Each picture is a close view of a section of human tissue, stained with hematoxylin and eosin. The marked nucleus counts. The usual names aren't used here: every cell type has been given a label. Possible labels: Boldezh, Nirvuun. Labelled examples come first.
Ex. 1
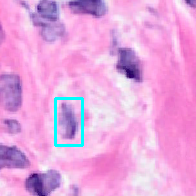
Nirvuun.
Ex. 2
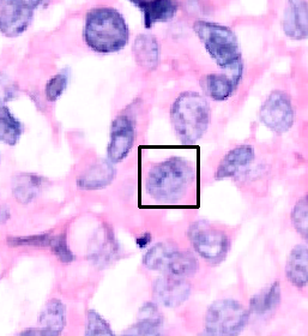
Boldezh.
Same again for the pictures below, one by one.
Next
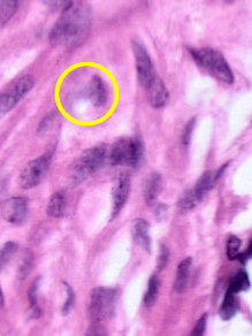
Nirvuun.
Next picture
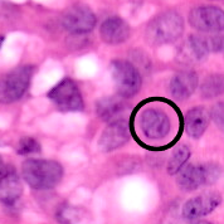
Boldezh.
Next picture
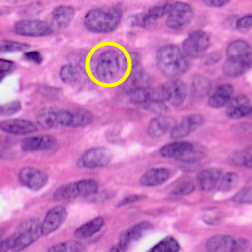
Boldezh.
